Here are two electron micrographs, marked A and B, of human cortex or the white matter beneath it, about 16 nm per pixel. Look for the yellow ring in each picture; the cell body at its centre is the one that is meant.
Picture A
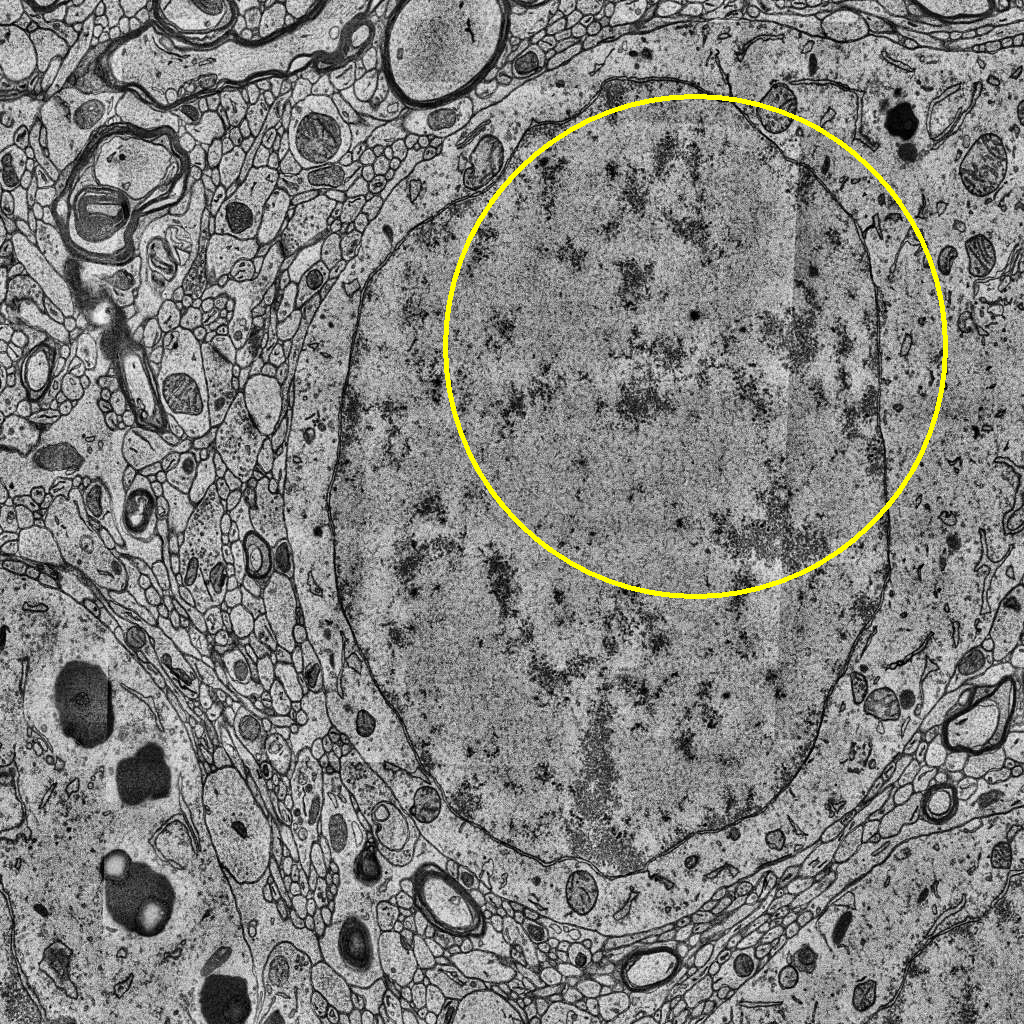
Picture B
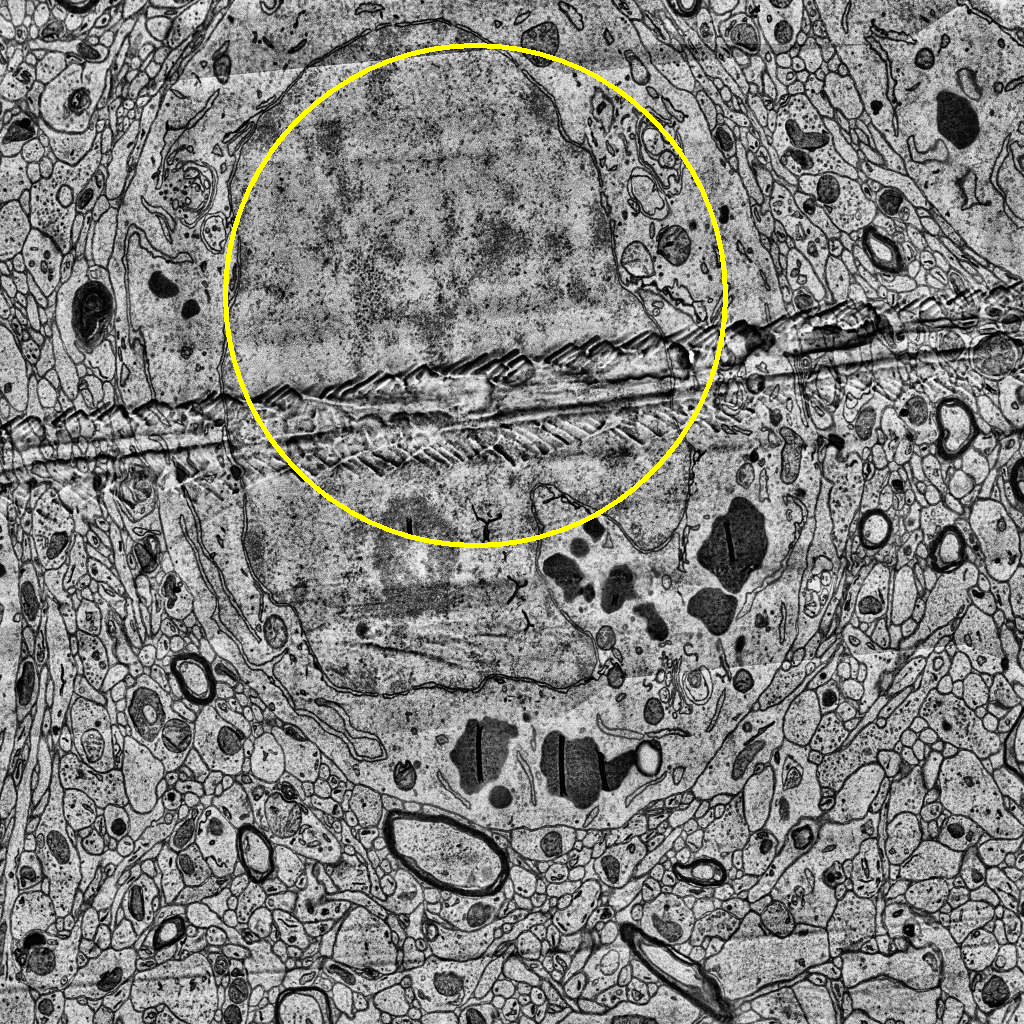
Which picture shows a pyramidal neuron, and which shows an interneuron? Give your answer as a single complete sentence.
Picture A shows a pyramidal neuron and picture B shows an interneuron.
